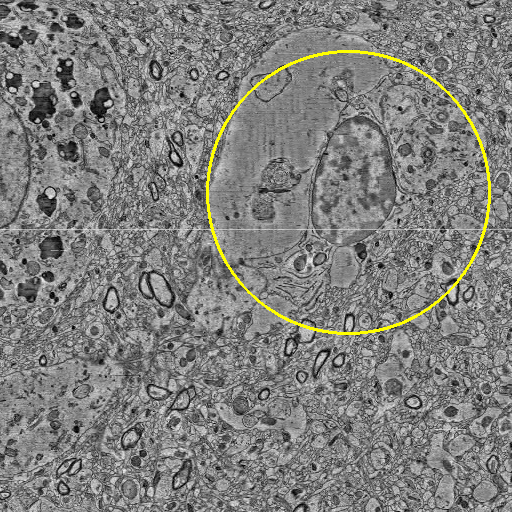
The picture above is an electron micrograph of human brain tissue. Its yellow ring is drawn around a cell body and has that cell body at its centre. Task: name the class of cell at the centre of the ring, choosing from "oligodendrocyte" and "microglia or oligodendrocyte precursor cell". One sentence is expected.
The ring surrounds the body of a microglial cell or oligodendrocyte precursor cell.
